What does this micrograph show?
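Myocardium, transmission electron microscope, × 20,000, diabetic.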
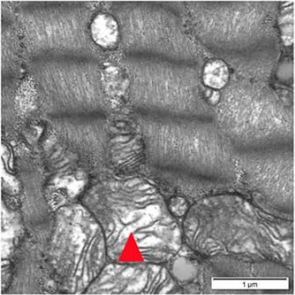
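In this heart muscle the banded myofibrils are still visible, but the mitochondria between them are enlarged, rounded and pale. Their inner membrane folds are sparse, fragmented or swirled, leaving wide clear areas in the matrix. Several empty, round vacuoles lie scattered among the organelles. These are swollen mitochondria with loss of cristae and vacuolization.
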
